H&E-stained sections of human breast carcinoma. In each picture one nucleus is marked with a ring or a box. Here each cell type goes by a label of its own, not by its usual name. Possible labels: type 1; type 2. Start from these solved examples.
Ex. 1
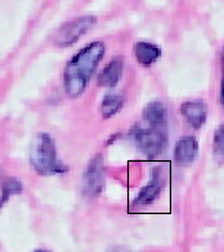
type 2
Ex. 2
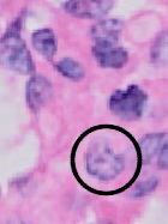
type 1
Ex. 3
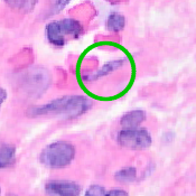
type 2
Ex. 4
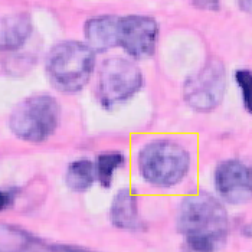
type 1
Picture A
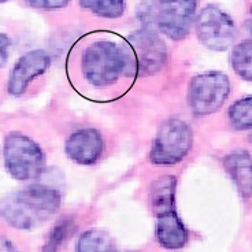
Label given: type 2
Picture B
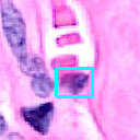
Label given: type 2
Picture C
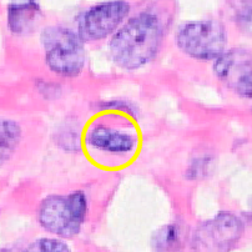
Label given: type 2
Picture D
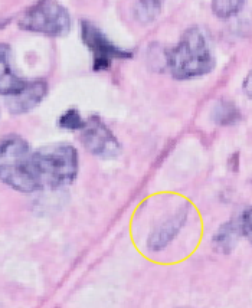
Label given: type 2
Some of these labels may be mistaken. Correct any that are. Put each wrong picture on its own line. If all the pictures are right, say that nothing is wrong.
A: change type 2 to type 1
